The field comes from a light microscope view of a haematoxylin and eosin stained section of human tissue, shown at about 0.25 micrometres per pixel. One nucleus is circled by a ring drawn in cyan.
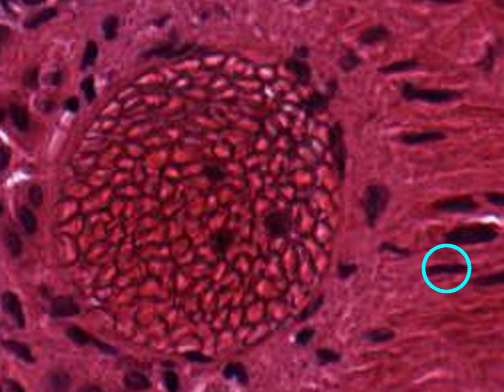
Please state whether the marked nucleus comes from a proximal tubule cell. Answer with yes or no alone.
no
